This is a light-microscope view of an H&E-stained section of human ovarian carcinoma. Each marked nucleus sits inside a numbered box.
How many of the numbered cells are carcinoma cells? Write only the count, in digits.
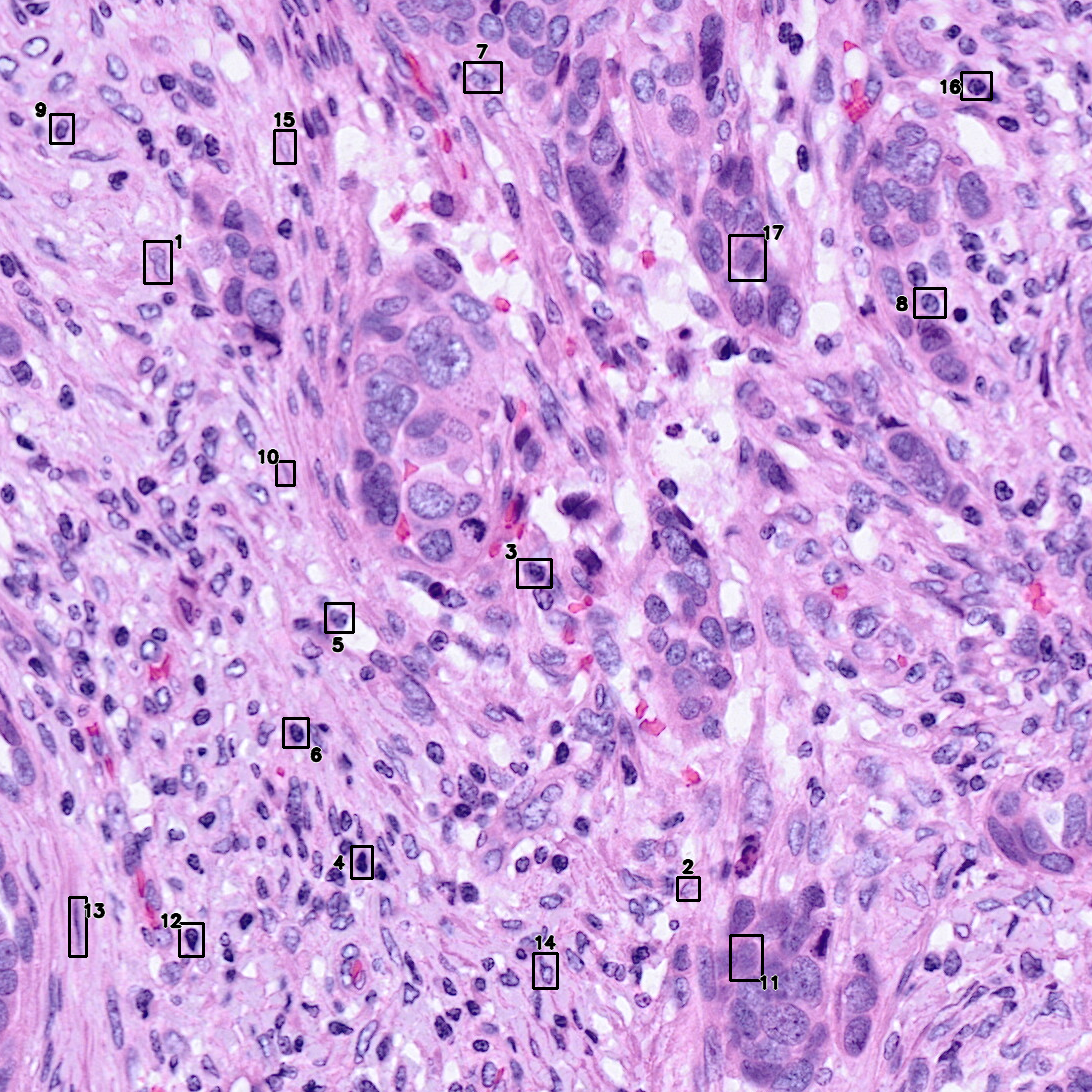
2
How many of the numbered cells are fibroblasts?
7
